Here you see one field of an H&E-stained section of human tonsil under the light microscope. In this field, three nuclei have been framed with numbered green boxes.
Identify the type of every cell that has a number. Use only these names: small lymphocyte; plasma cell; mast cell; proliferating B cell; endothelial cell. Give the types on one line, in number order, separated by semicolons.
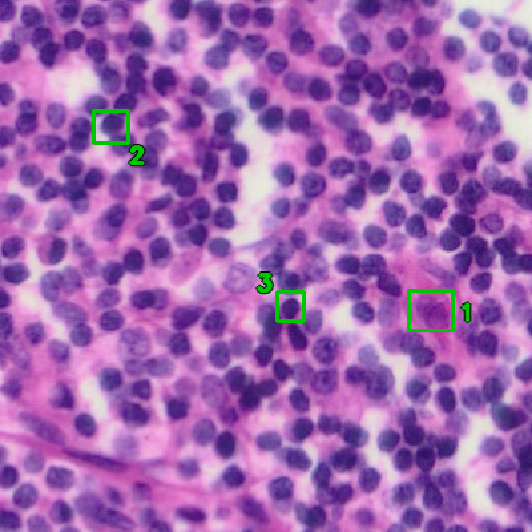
endothelial cell; small lymphocyte; small lymphocyte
